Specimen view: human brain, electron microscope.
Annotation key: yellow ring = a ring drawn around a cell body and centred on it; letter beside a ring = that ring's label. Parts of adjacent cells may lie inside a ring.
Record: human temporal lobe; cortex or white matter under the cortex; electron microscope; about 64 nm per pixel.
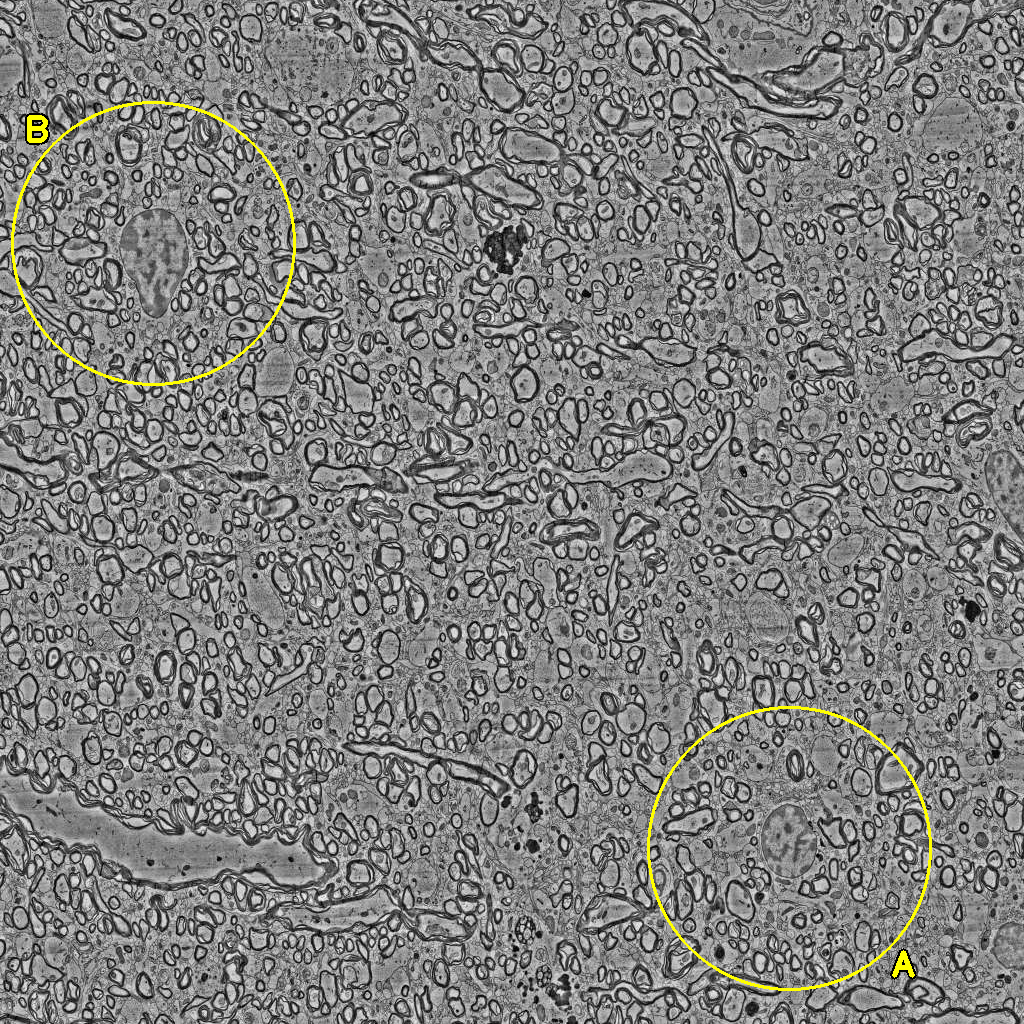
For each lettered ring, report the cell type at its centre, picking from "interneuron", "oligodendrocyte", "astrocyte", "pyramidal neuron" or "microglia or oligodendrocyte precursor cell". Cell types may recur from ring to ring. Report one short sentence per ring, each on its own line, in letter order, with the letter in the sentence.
The cell at the centre of ring A is a microglial cell or oligodendrocyte precursor cell.
The cell at the centre of ring B is a microglial cell or oligodendrocyte precursor cell.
